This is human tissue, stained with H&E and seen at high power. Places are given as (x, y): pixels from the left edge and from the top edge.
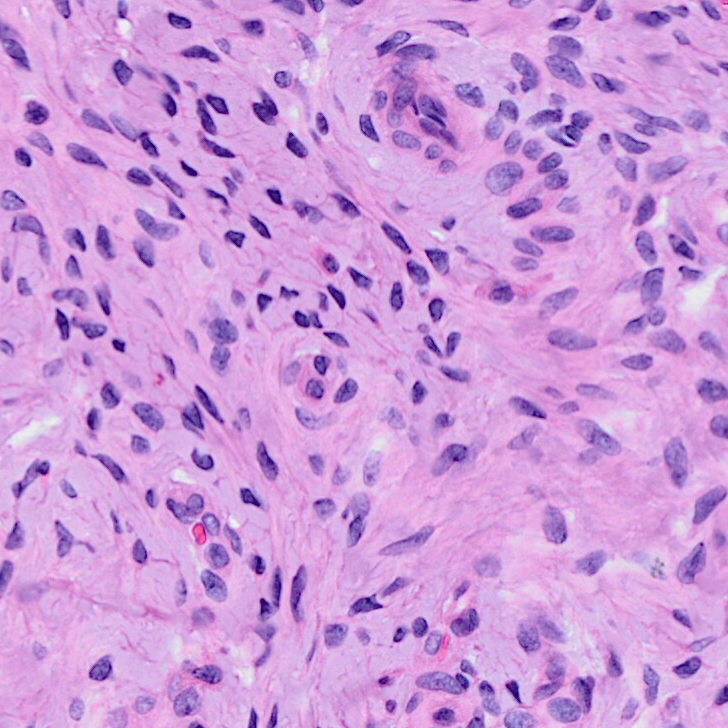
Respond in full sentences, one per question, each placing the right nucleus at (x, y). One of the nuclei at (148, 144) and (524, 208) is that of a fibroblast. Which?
As for which of the two, the nucleus at (148, 144) belongs to a fibroblast.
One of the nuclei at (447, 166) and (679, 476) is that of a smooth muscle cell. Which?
The pair contains one nucleus of a smooth muscle cell, namely the one at (447, 166).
